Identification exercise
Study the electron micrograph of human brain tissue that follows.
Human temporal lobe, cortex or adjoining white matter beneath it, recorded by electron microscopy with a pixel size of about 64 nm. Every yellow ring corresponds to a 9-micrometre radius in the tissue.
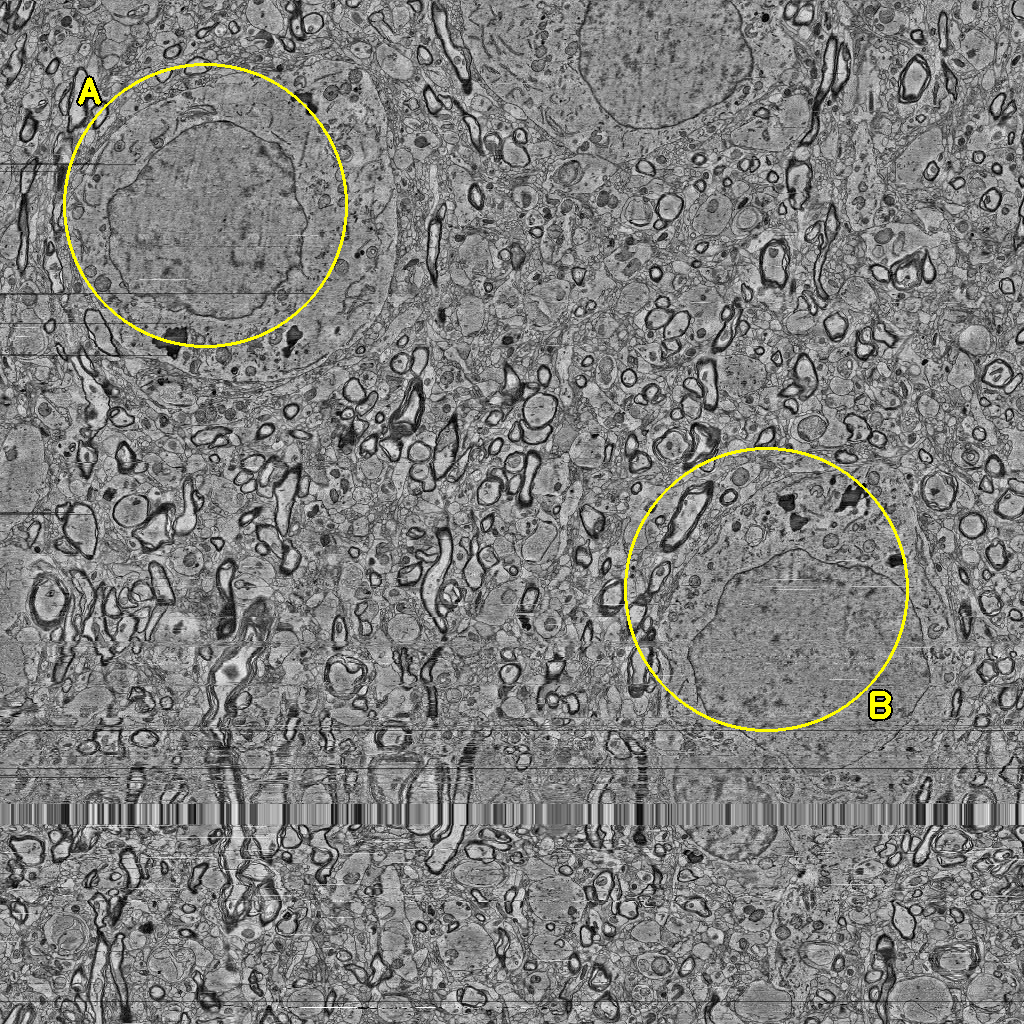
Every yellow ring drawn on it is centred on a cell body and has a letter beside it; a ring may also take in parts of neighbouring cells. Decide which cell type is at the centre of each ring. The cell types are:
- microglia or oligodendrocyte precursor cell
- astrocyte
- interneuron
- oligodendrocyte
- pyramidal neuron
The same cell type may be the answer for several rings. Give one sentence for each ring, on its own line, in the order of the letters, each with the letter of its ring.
Ring A encircles a pyramidal neuron.
Ring B encircles a pyramidal neuron.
